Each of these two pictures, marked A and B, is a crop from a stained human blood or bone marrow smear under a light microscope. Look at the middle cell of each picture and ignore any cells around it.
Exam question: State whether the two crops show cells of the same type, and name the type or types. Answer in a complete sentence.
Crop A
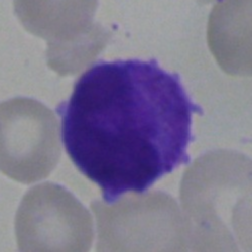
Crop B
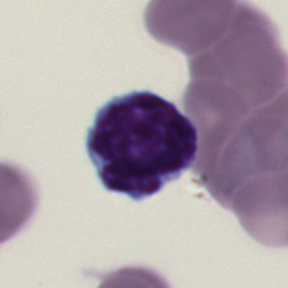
No, crop A contains a blast, and crop B contains a lymphocyte.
